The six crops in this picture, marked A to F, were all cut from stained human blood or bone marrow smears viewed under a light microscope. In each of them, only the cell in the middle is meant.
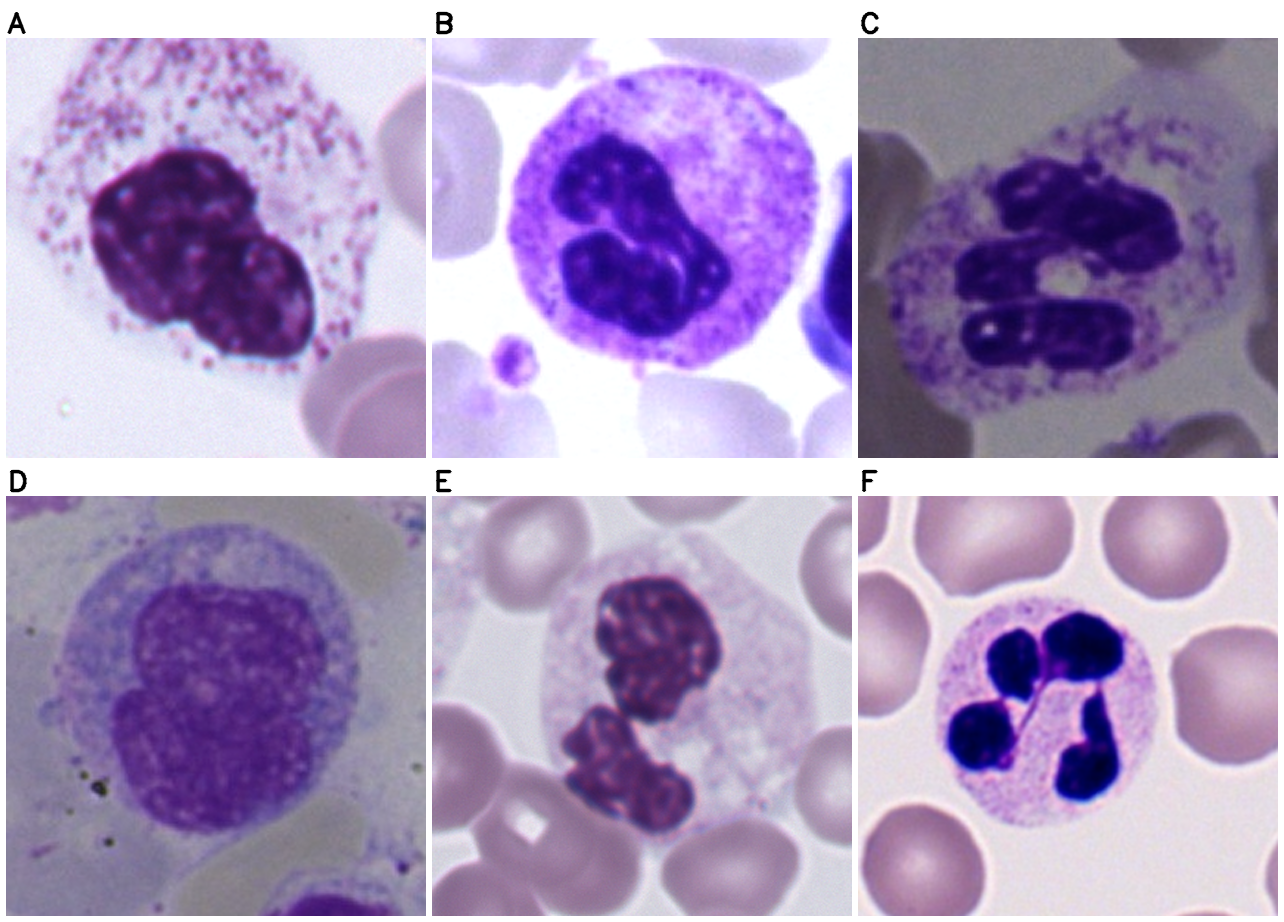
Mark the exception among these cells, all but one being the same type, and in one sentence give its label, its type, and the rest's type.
In contrast to the other crops, all of which show segmented neutrophils, crop D shows a monocyte.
